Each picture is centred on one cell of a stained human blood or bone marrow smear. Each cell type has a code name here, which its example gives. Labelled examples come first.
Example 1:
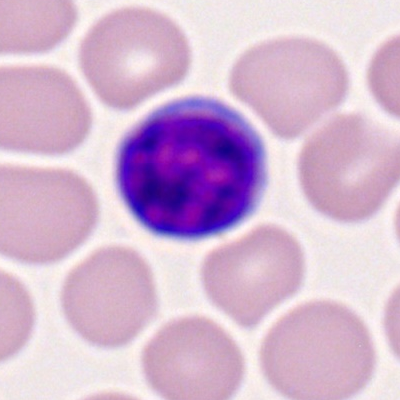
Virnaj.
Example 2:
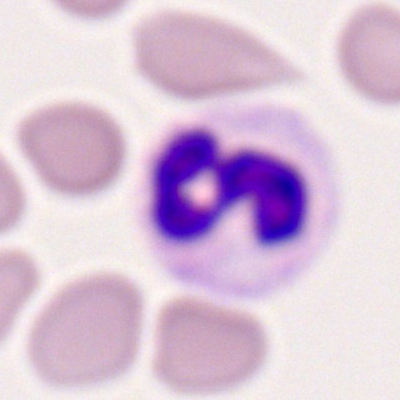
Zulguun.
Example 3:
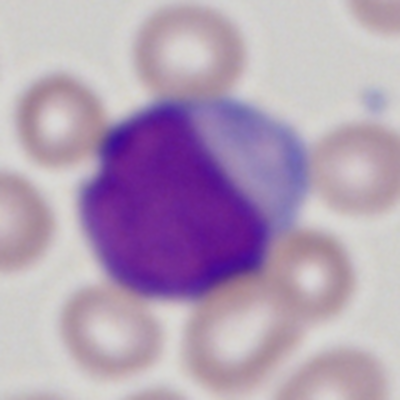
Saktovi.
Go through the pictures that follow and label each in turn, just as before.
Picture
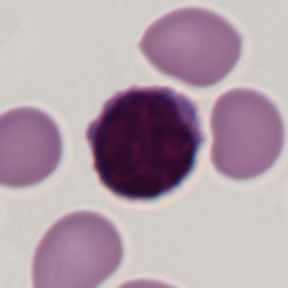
Virnaj.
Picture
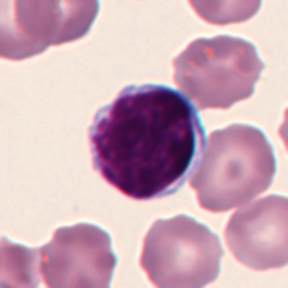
Virnaj.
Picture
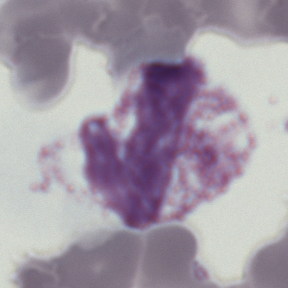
Zulguun.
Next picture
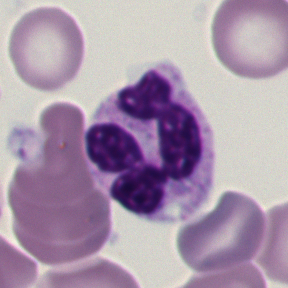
Zulguun.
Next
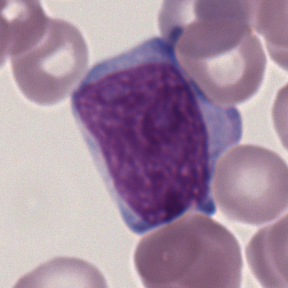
Saktovi.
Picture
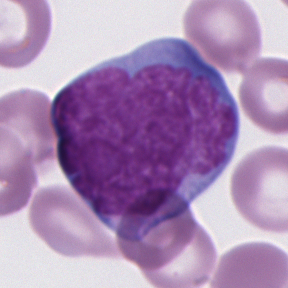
Saktovi.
